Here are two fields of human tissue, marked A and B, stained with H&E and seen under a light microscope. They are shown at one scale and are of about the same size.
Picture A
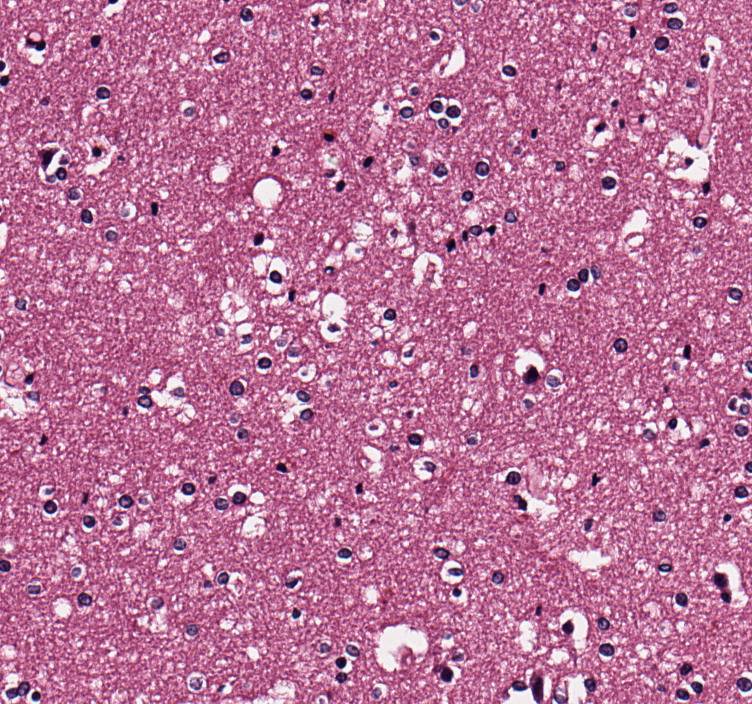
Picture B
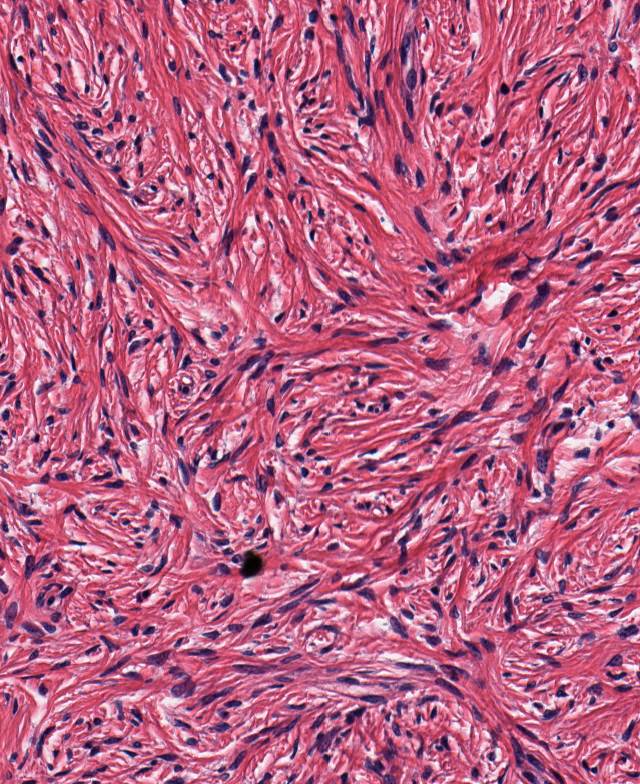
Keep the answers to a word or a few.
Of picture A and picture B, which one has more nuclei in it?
B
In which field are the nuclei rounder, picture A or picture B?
A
